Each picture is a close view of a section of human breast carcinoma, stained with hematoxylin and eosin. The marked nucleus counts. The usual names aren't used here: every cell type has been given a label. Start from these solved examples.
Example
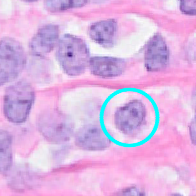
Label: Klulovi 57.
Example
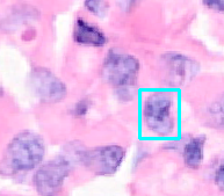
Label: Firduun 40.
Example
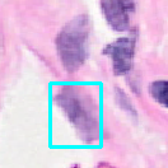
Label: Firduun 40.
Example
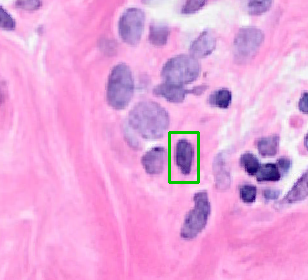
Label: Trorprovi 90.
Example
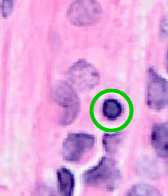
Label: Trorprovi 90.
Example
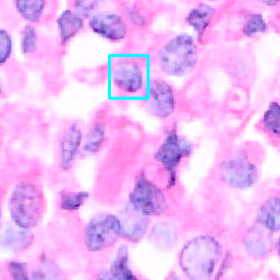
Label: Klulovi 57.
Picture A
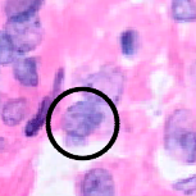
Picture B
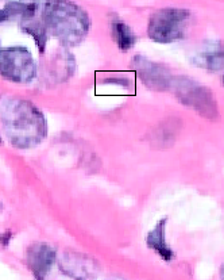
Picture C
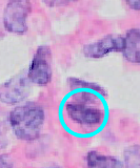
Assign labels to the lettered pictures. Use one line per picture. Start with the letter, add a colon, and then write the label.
A: Klulovi 57.
B: Firduun 40.
C: Klulovi 57.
